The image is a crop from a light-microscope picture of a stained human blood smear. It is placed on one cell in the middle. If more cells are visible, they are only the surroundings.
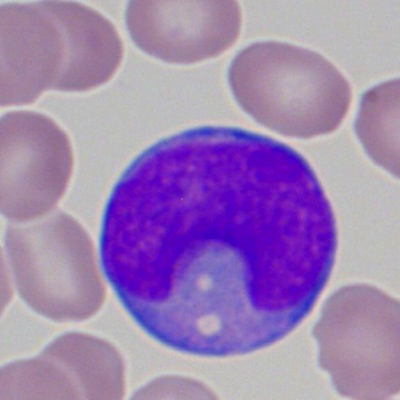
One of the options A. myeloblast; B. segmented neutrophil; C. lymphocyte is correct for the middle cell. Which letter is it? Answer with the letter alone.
A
